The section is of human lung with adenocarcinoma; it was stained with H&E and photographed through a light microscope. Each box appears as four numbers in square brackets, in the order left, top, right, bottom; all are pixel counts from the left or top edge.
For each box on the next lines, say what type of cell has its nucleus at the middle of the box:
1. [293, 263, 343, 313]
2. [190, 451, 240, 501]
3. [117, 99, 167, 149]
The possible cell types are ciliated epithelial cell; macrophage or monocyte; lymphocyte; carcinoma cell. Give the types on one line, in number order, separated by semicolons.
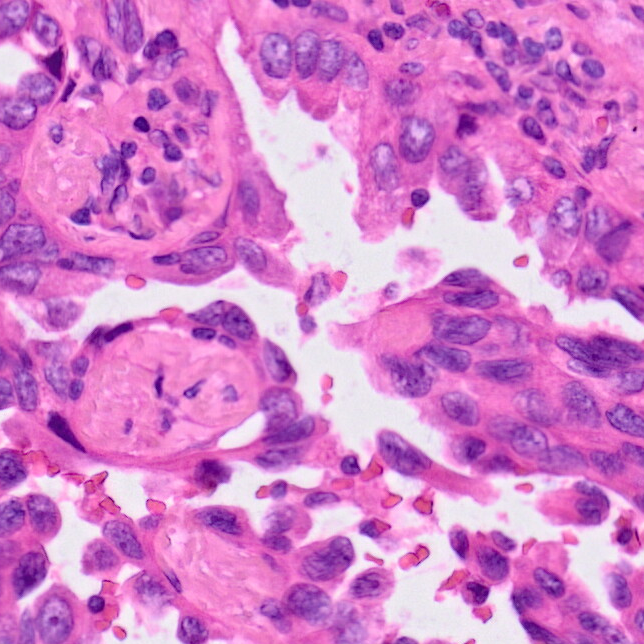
macrophage or monocyte; carcinoma cell; lymphocyte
